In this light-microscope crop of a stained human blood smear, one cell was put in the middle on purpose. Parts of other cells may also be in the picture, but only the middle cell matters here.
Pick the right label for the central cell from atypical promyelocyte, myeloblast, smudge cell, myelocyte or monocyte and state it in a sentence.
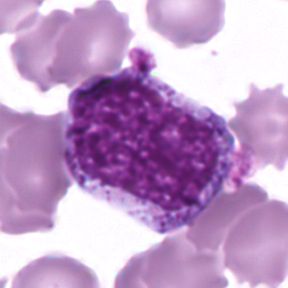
The cell at the centre of the field is a myelocyte.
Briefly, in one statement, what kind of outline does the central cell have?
The cell is bounded by a ragged or projection-bearing margin rather than a smooth one.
